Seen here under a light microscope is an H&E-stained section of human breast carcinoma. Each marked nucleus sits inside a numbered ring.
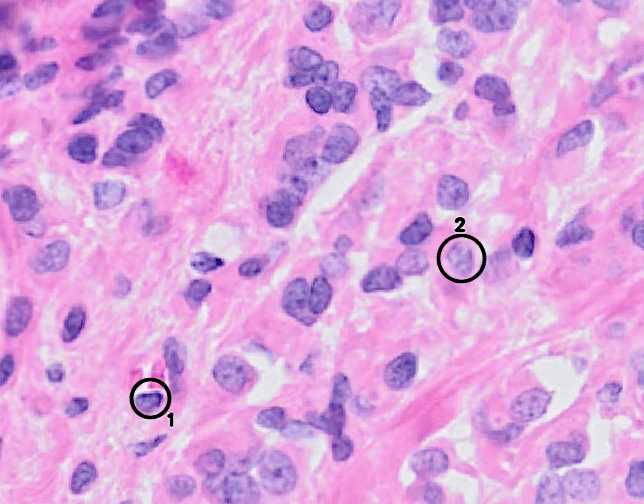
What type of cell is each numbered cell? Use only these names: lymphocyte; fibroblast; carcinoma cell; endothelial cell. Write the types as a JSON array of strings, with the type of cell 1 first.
["endothelial cell", "carcinoma cell"]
